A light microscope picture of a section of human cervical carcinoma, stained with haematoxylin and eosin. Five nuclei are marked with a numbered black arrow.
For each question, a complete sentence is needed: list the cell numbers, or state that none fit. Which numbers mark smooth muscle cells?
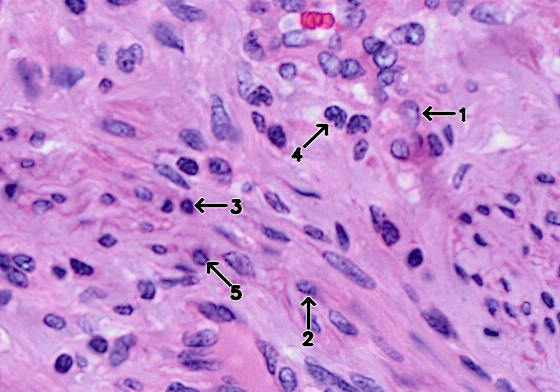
Cells numbered 2, 3 and 5 belong to the group of smooth muscle cells.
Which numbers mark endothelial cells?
Cell 1 is an endothelial cell; every other numbered cell is something else.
